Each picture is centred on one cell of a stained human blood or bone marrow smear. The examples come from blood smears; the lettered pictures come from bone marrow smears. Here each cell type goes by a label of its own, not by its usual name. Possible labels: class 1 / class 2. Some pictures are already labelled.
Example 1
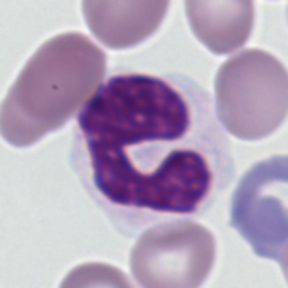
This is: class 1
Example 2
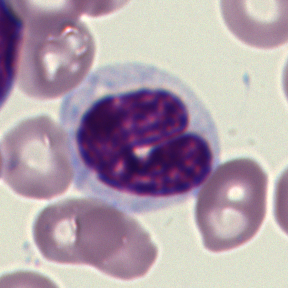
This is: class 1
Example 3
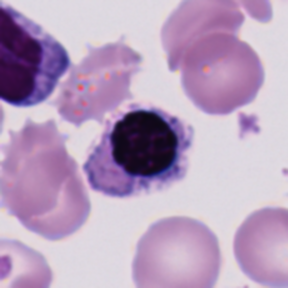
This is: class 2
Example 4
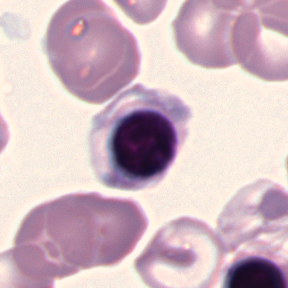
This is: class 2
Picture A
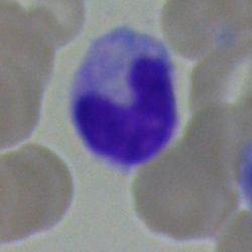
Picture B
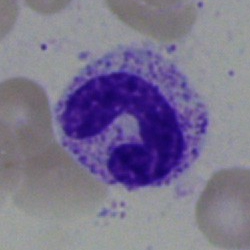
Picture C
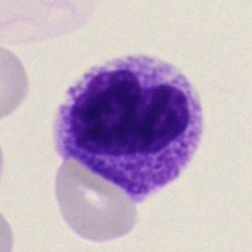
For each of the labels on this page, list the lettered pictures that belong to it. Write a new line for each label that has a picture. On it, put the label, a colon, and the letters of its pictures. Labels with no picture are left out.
class 1: A, B, C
